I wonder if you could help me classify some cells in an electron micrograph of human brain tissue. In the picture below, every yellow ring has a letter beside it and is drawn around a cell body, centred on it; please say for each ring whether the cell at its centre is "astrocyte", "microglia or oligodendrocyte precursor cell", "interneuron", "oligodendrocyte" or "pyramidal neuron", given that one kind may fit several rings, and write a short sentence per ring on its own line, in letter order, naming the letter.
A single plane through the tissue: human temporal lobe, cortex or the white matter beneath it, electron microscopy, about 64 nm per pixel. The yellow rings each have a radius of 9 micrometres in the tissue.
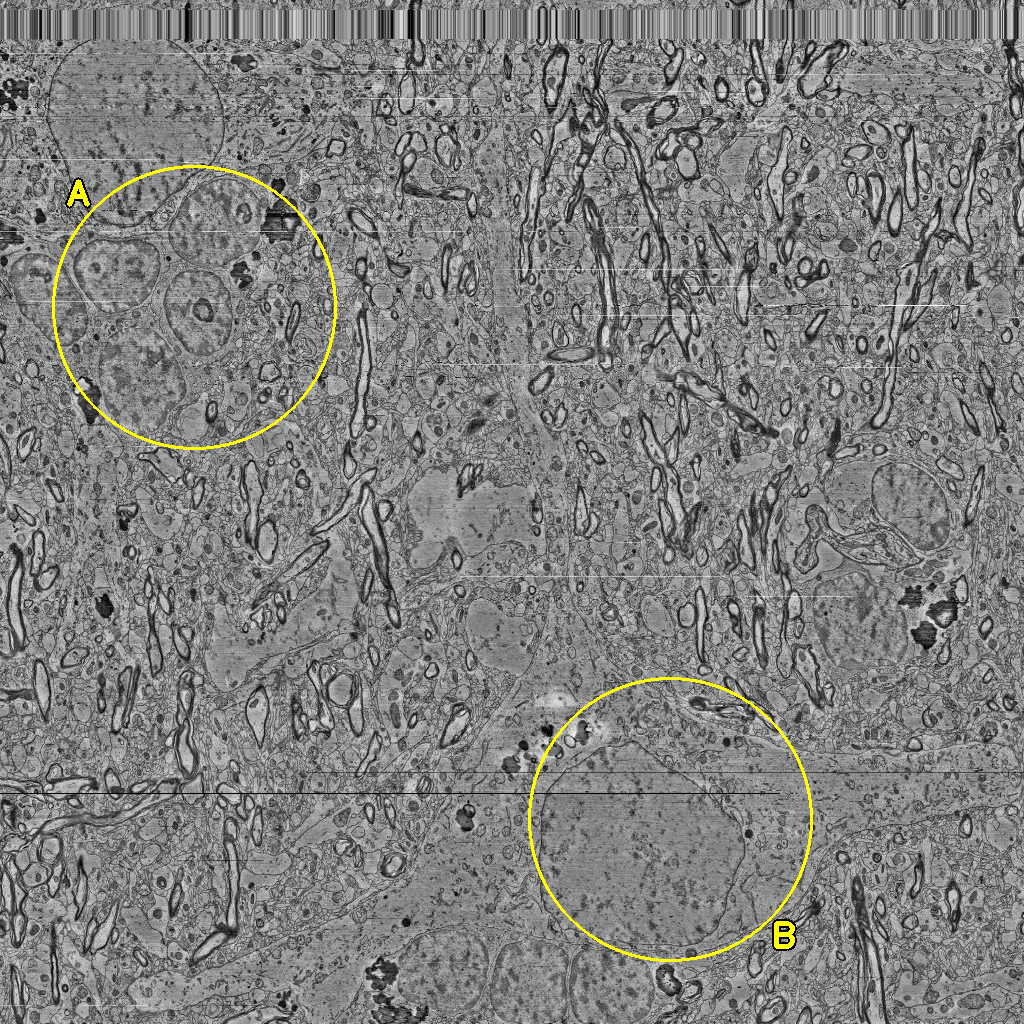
Centred in ring A is an oligodendrocyte.
Centred in ring B is a pyramidal neuron.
